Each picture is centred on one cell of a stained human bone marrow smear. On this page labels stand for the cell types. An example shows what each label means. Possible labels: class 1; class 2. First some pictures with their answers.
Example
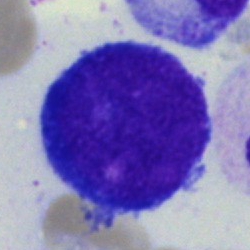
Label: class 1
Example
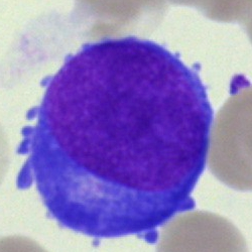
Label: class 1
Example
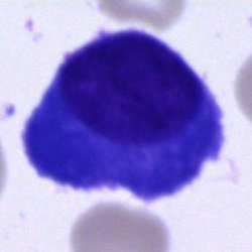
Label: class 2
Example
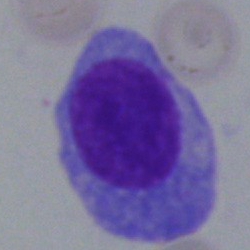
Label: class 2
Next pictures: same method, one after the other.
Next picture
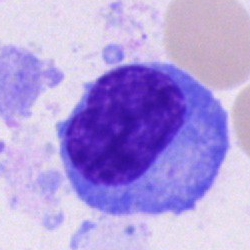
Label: class 2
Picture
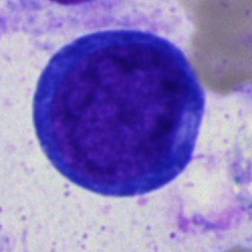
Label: class 1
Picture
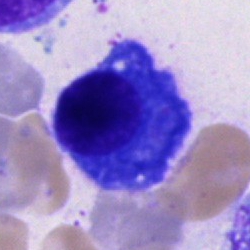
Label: class 2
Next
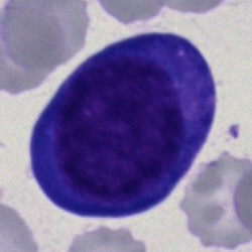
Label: class 1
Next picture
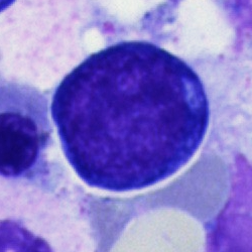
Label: class 1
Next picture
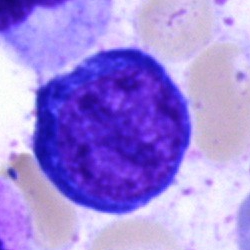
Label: class 1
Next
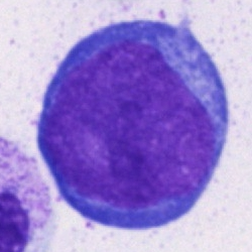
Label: class 1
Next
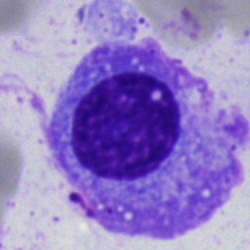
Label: class 2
